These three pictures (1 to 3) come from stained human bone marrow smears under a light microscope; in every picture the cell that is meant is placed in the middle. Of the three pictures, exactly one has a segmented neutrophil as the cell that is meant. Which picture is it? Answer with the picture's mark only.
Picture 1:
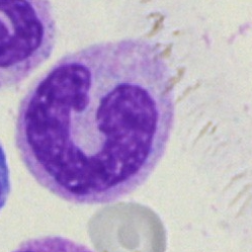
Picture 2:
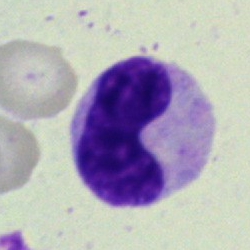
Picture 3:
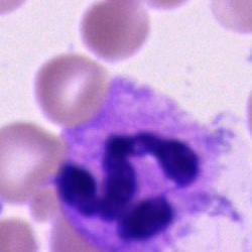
3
